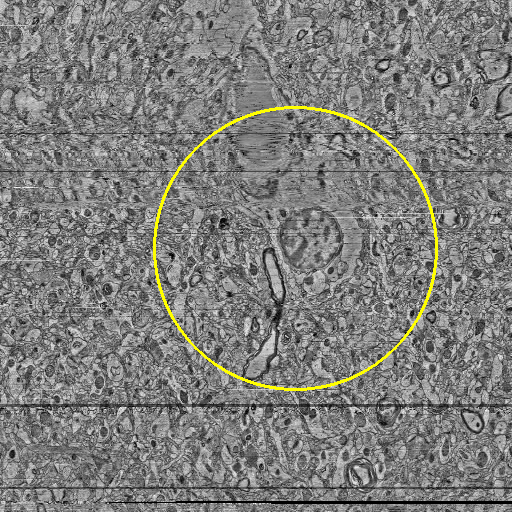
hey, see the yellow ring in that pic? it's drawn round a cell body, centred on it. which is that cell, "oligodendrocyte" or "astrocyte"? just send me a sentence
The cell in the ring is an oligodendrocyte.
